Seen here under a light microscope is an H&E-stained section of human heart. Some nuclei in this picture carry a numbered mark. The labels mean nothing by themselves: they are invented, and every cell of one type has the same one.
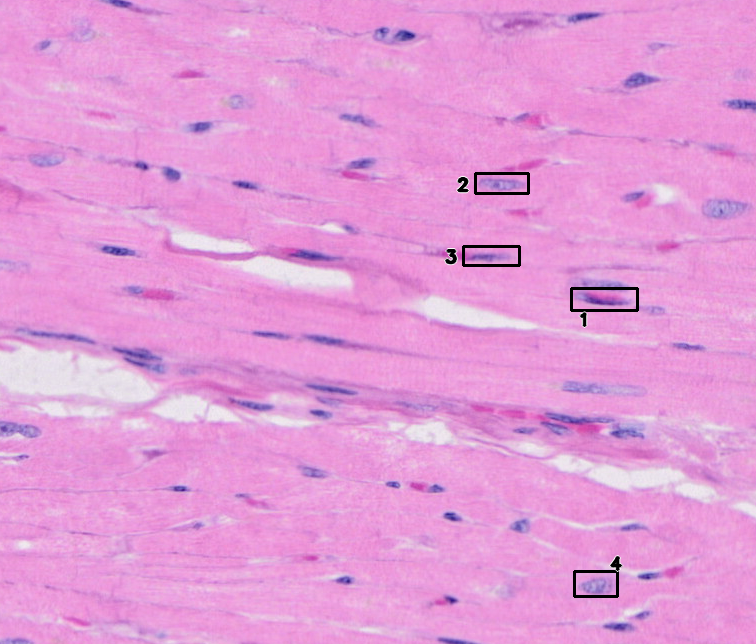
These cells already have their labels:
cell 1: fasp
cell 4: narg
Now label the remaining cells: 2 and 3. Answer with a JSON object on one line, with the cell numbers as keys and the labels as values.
{"2": "narg", "3": "fasp"}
